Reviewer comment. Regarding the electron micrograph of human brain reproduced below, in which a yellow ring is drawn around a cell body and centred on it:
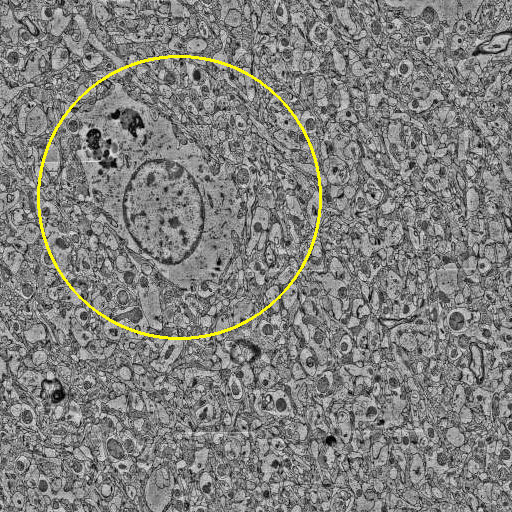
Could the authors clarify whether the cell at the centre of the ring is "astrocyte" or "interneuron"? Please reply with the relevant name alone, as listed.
astrocyte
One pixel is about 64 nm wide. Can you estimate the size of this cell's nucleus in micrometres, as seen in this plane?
In this plane the nucleus is about 7 micrometres by 5.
